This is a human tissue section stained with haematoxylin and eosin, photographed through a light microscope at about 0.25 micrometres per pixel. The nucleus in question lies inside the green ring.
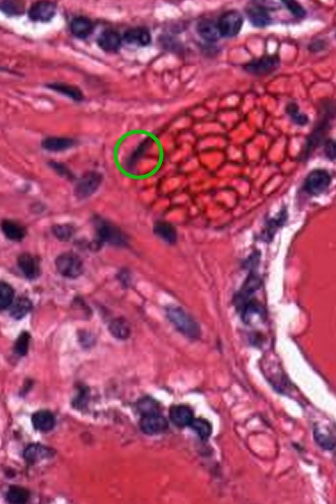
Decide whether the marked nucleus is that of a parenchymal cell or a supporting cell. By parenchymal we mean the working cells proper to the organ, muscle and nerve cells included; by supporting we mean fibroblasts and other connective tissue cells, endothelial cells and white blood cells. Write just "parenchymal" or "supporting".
supporting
